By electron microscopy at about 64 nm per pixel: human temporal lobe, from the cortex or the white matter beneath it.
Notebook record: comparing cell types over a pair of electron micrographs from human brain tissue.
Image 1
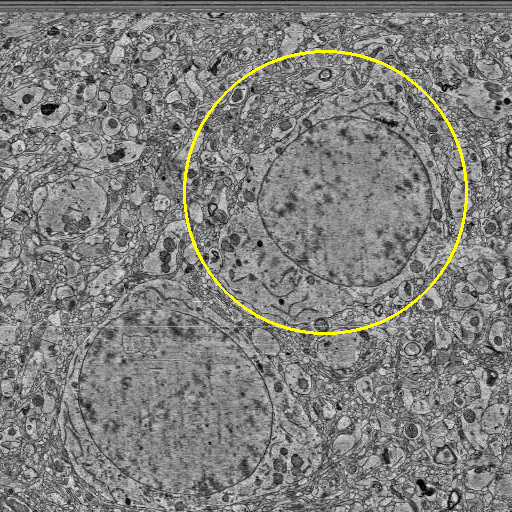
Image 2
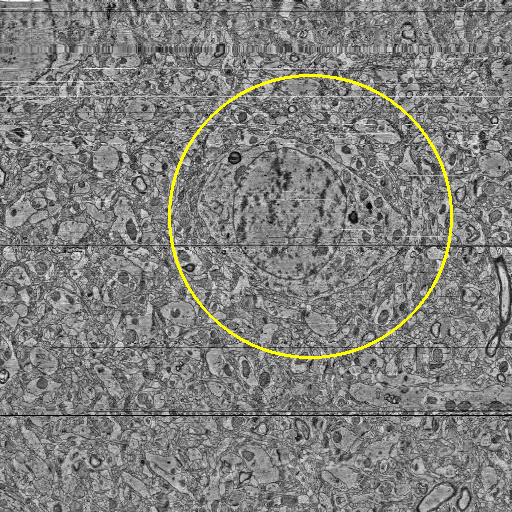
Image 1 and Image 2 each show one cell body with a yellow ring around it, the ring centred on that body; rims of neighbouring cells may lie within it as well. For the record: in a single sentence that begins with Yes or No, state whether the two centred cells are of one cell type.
Yes, one cell type is shared by the centred cells of Image 1 and Image 2.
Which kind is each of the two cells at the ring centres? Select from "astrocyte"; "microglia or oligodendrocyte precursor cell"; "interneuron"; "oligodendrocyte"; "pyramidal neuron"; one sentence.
Each of the two cells is a pyramidal neuron.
